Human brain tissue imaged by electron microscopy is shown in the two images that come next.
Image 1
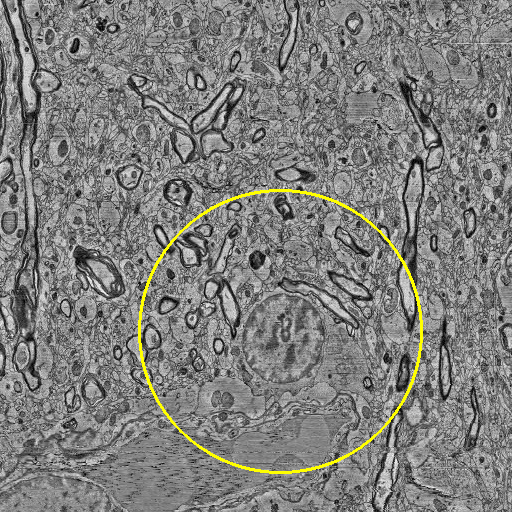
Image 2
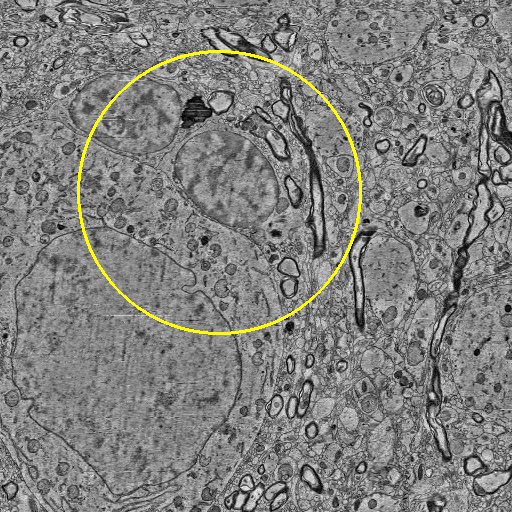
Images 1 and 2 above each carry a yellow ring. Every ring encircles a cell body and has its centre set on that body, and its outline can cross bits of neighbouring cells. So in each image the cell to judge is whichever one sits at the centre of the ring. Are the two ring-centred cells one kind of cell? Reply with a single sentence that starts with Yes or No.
Yes, in Image 1 and Image 2 the cells at the centres of their rings fall into one type.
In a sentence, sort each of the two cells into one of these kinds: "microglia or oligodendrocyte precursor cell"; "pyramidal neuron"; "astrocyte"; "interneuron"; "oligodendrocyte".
The ring centre holds an oligodendrocyte in each of the two pictures.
